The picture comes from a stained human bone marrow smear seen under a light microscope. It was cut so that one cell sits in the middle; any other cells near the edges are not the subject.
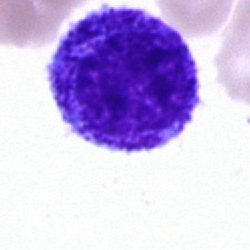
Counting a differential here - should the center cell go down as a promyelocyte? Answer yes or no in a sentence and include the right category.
Yes, the cell in the exact middle is a promyelocyte.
